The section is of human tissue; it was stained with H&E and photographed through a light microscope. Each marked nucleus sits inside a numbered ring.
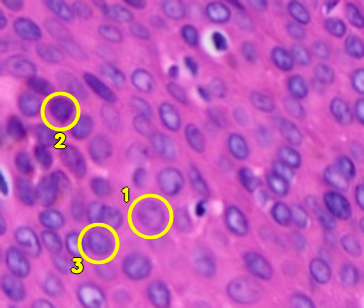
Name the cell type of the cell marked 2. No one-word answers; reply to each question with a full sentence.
Looking at the numbered marks, cell 2 is a basal keratinocyte.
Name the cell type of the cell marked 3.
The cell carrying label 3 is identified as a suprabasal keratinocyte.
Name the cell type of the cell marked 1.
The cell pointed out by number 1 is a suprabasal keratinocyte.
